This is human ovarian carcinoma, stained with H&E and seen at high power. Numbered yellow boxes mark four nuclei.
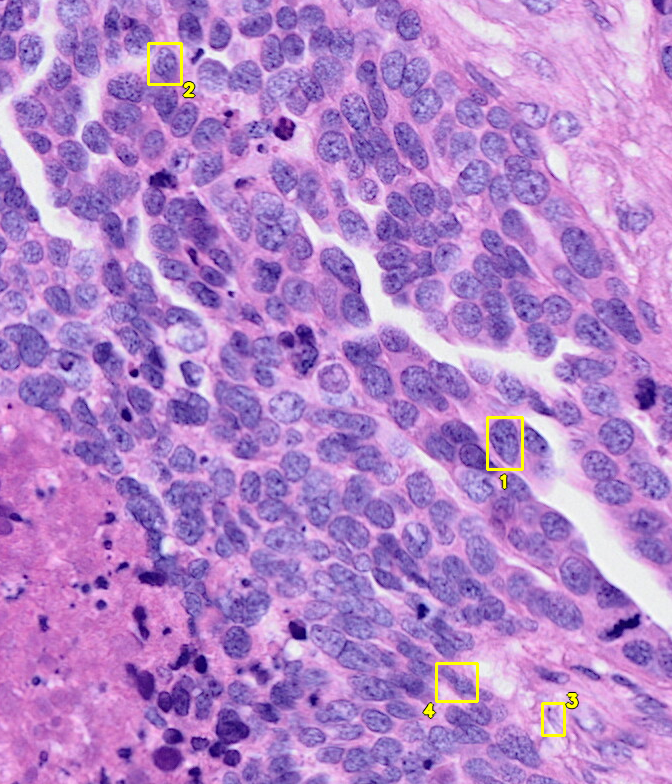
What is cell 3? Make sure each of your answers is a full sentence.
The cell bearing label 3 corresponds to a fibroblast.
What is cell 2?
Number 2 is placed on a carcinoma cell here.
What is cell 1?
Cell 1 in the field is a carcinoma cell.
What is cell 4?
Cell 4, as marked in the section, is a carcinoma cell.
